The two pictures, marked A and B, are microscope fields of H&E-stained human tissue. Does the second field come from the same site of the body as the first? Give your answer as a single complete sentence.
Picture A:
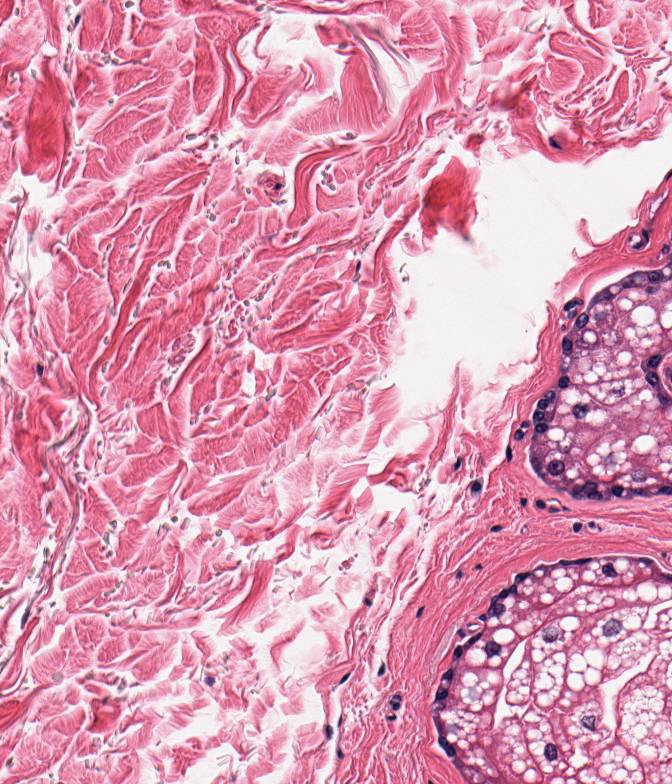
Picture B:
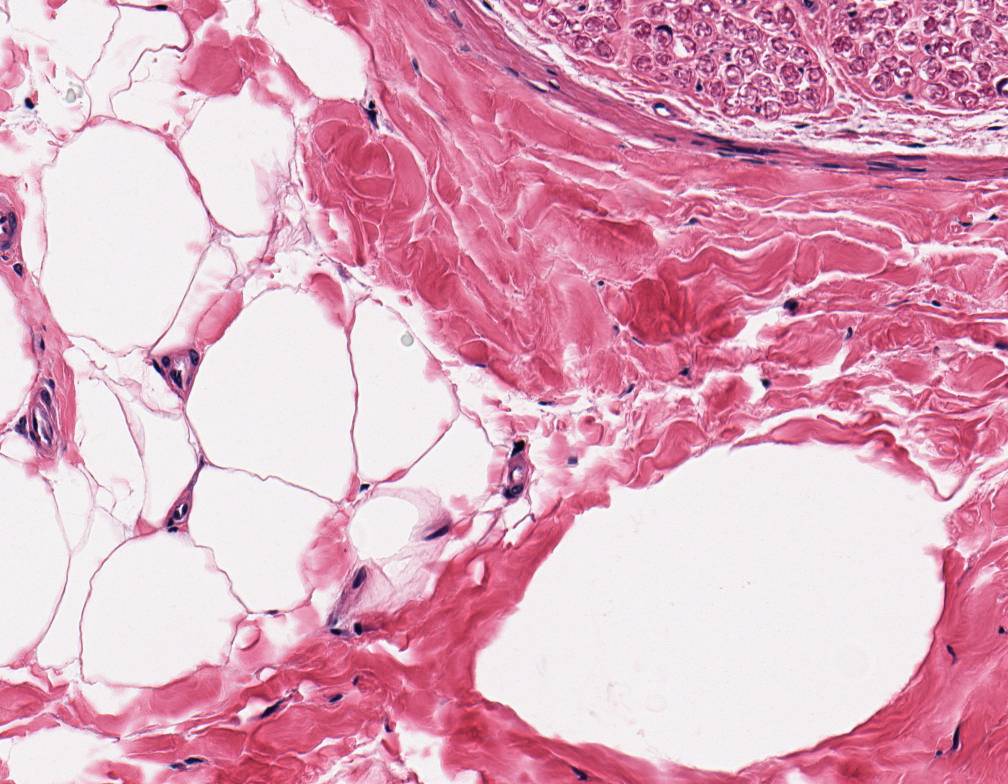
No, picture A comes from the skin of the suprapubic region and picture B comes from the tibial nerve.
